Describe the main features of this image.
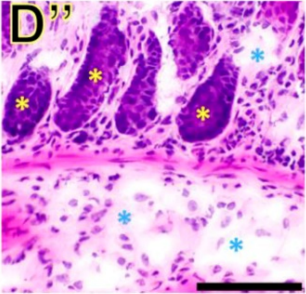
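Colonic mucosa with gland profiles cut in cross and oblique section, lined by crowded, dark-purple epithelium with stacked nuclei and no clear vacuoles. The glands are separated by stroma containing scattered oval and spindle-shaped nuclei. Below a band of pink muscle, the underlying layer is widened and very pale, with loose, washed-out texture and sparse nuclei. Pale spaces also lie between glands in the mucosa.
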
